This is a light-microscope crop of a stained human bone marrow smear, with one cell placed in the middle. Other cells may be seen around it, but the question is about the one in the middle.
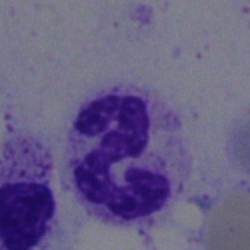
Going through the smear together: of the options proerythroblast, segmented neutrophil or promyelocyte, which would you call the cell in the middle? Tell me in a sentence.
For this crop, the cell in the middle is a segmented neutrophil.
